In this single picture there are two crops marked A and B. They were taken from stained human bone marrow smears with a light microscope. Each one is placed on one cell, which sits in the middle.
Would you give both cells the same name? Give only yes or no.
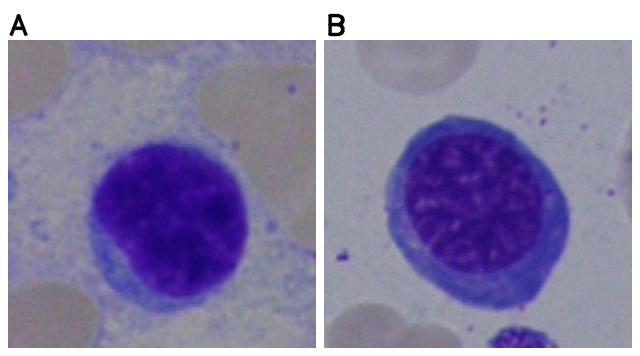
no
